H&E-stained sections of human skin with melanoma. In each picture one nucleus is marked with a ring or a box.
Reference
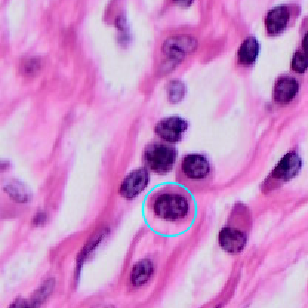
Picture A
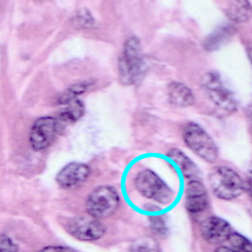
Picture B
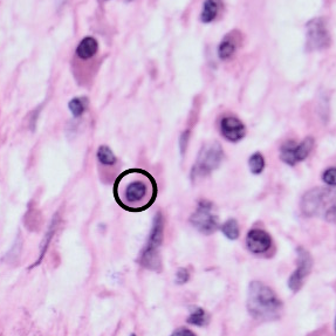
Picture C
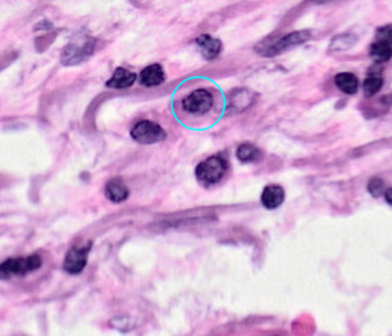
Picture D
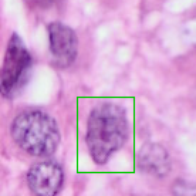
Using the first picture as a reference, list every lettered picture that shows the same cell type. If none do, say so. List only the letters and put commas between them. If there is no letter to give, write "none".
B, C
